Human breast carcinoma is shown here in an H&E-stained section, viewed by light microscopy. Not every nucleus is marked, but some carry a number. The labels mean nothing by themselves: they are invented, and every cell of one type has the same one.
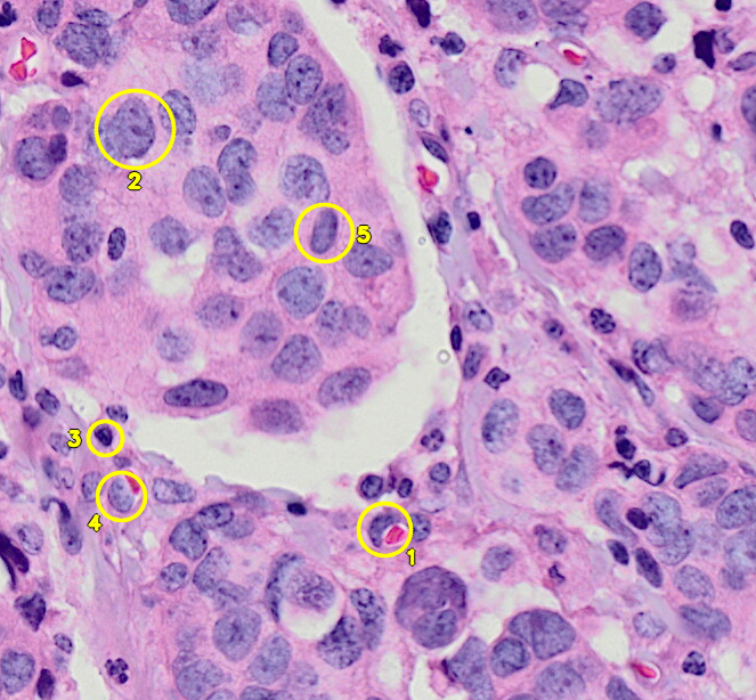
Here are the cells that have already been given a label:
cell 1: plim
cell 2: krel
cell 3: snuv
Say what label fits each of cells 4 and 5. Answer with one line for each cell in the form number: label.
4: plim
5: krel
